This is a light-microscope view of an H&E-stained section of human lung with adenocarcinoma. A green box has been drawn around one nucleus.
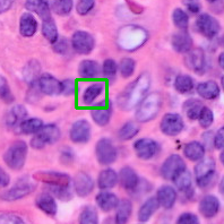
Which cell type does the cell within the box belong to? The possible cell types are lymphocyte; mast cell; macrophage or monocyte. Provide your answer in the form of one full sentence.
It is as a lymphocyte that the cell within the box is recorded.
